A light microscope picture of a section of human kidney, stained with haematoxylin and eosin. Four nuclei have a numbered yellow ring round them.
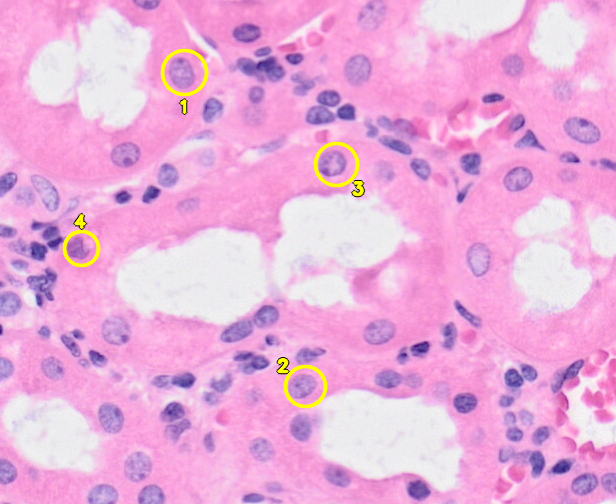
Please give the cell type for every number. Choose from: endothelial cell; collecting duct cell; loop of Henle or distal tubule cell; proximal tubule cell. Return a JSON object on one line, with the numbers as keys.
{"1": "proximal tubule cell", "2": "loop of Henle or distal tubule cell", "3": "proximal tubule cell", "4": "proximal tubule cell"}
